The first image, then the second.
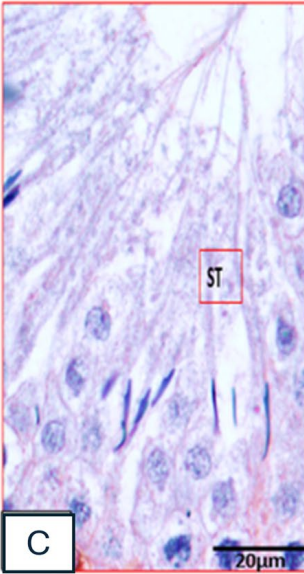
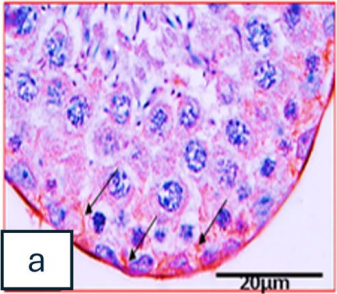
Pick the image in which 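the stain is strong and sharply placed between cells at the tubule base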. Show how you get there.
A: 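First image: only a faint, pale pinkish tint spread through the epithelium, no sharp lines at the base. Second image: distinct orange-brown lines between cells along the tubule base.
Answer: the second image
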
